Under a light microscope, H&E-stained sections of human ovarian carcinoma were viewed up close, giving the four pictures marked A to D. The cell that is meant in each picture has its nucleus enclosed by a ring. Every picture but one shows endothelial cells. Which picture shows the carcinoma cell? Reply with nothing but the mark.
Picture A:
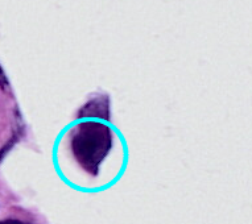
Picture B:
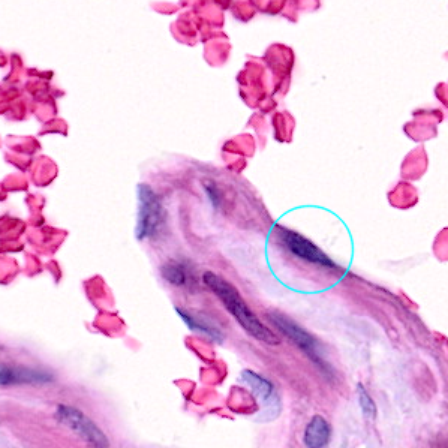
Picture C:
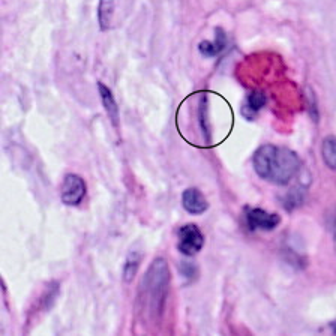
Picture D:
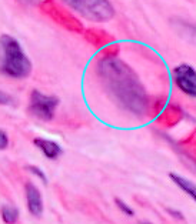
A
